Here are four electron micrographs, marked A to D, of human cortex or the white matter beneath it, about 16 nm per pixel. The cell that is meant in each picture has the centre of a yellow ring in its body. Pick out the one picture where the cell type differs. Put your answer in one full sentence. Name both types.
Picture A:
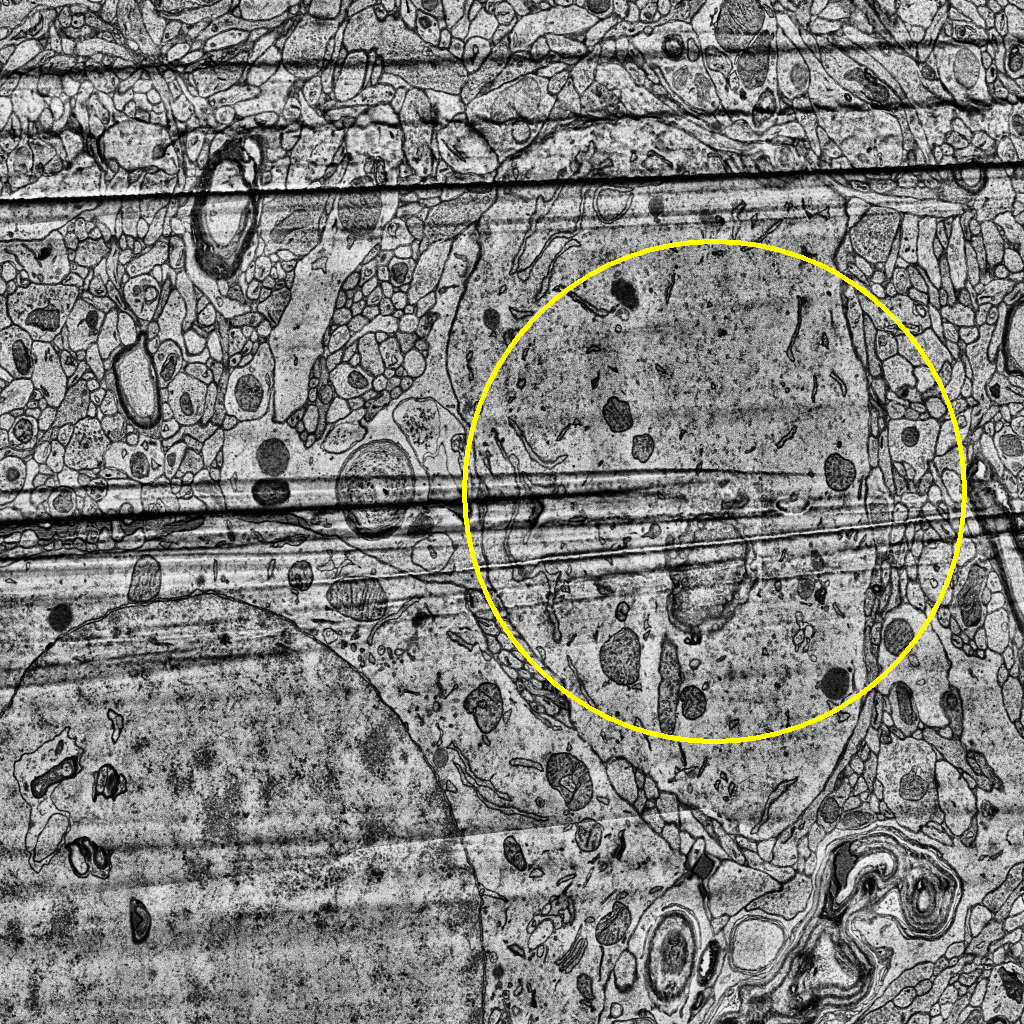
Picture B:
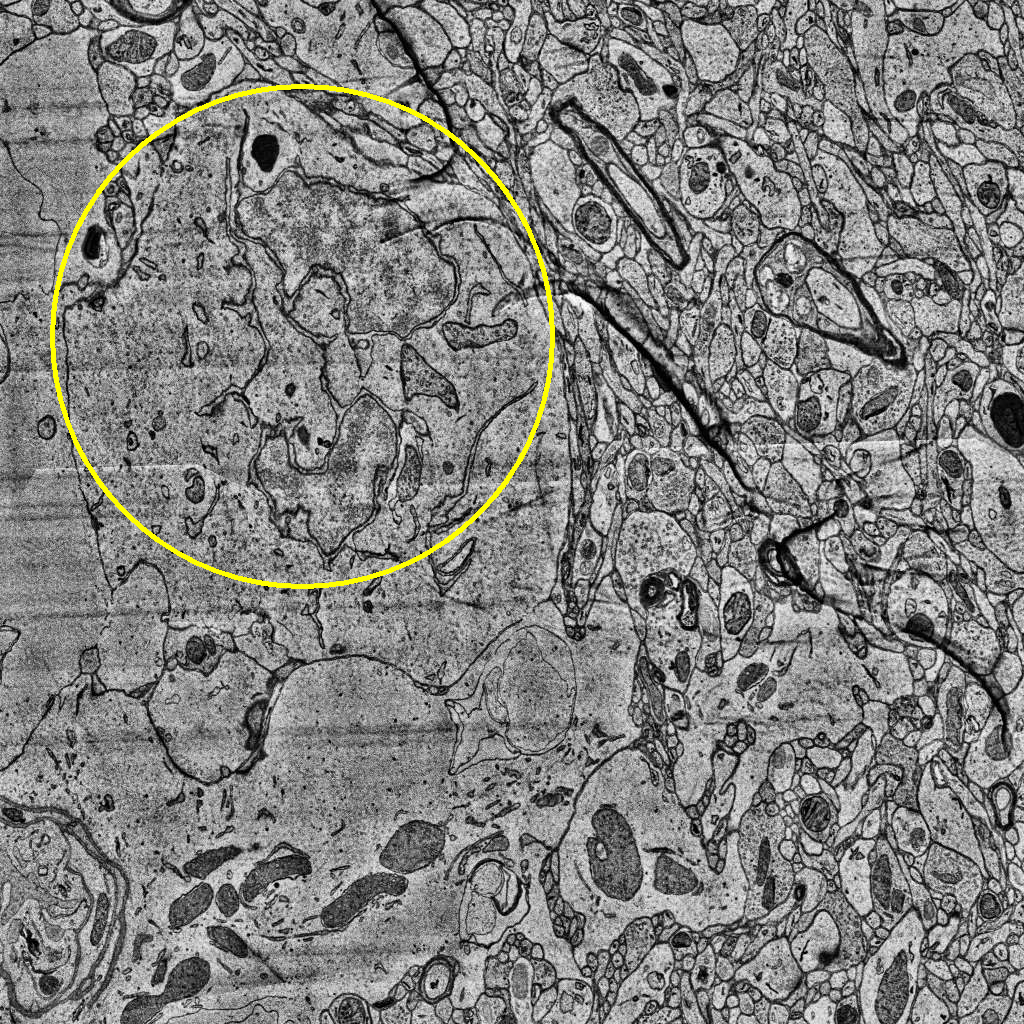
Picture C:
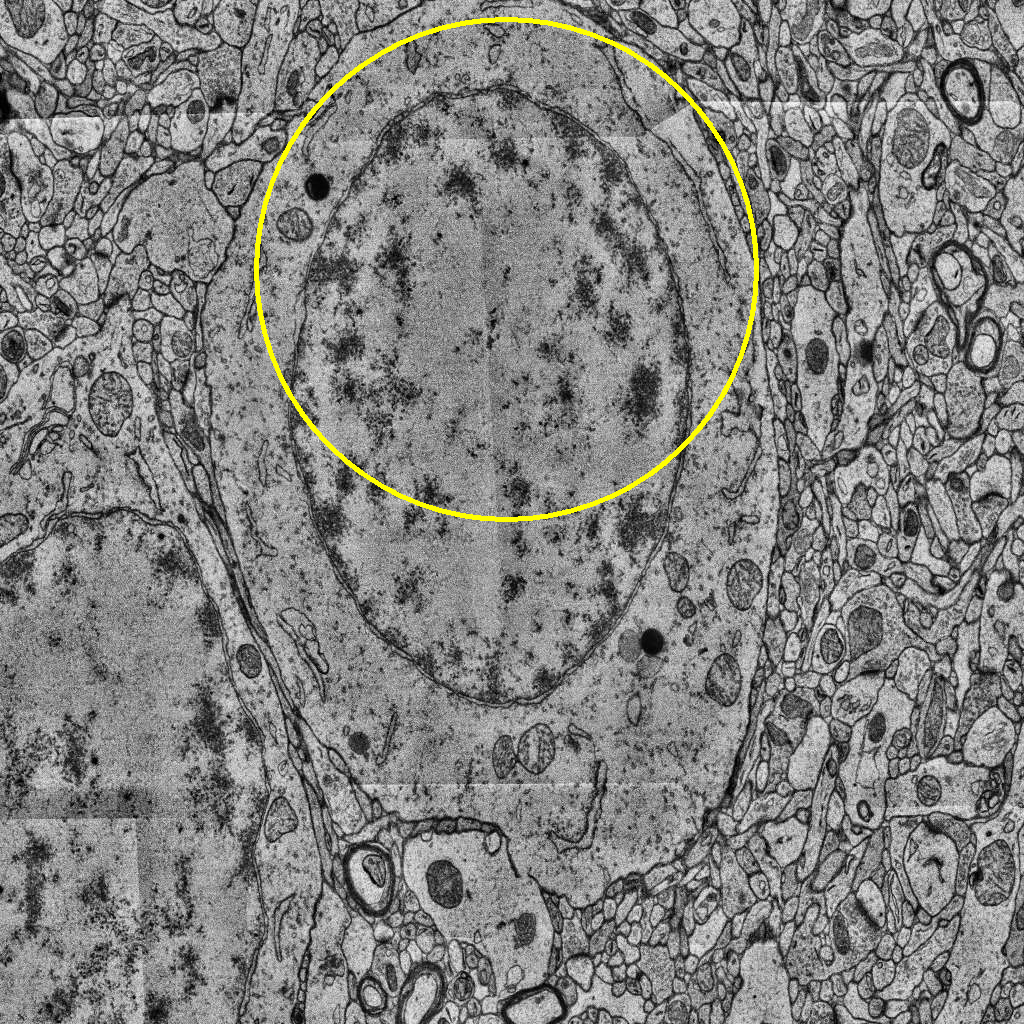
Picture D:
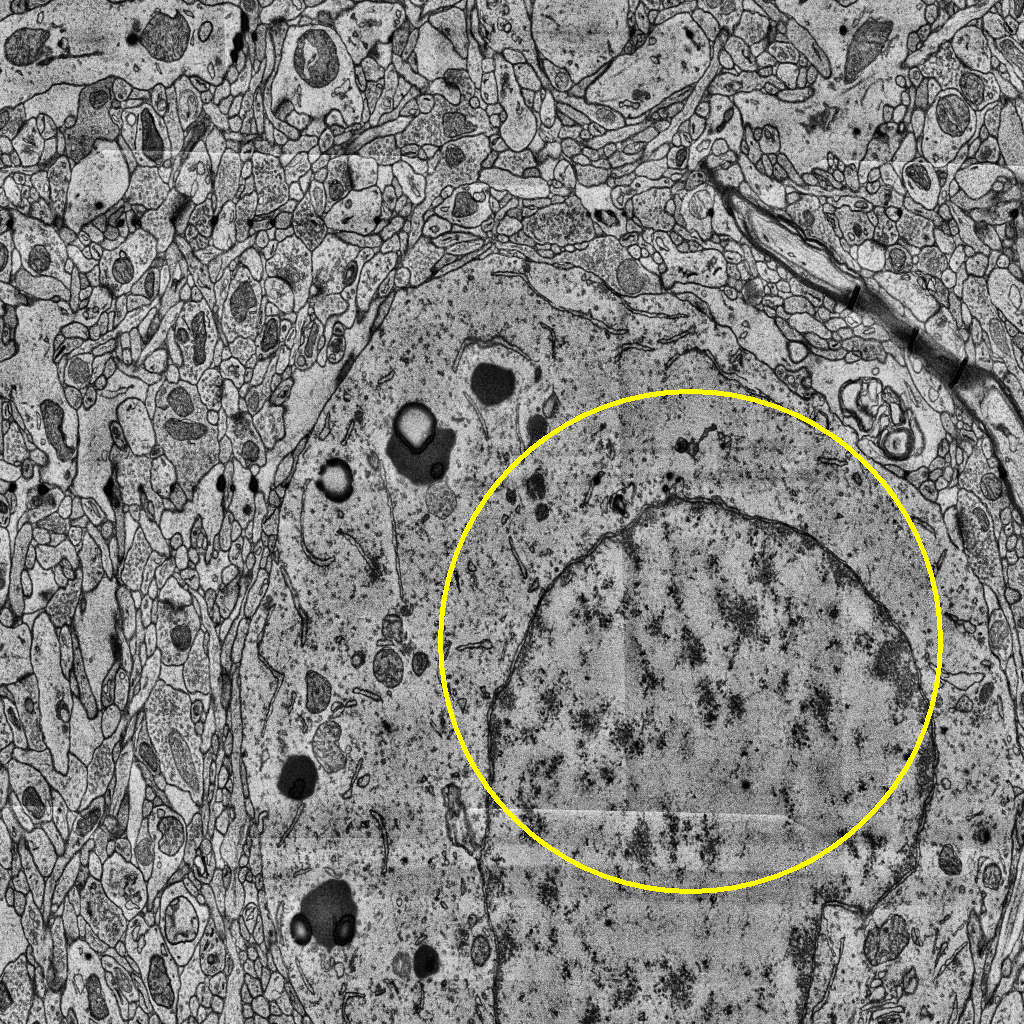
Unlike the rest, which show pyramidal neurons, picture B shows an interneuron.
